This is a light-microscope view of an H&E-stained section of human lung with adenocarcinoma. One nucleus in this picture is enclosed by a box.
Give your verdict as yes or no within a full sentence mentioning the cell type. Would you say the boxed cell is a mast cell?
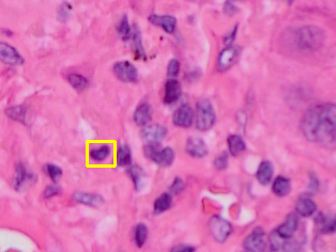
Yes, the claim that the boxed cell is a mast cell holds true.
